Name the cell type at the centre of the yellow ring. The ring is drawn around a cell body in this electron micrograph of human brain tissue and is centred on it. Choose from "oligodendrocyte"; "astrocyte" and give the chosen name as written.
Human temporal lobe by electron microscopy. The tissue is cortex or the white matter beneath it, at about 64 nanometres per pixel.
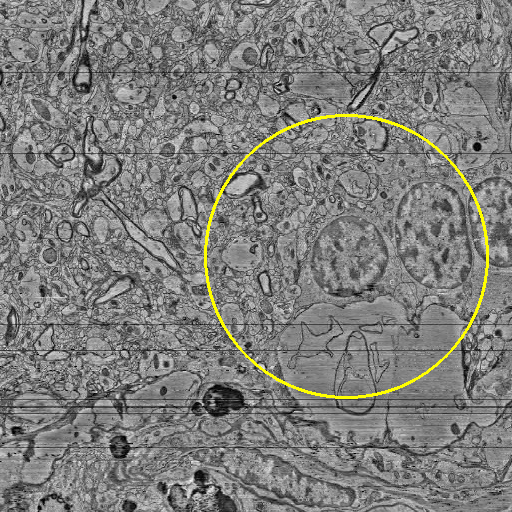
oligodendrocyte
